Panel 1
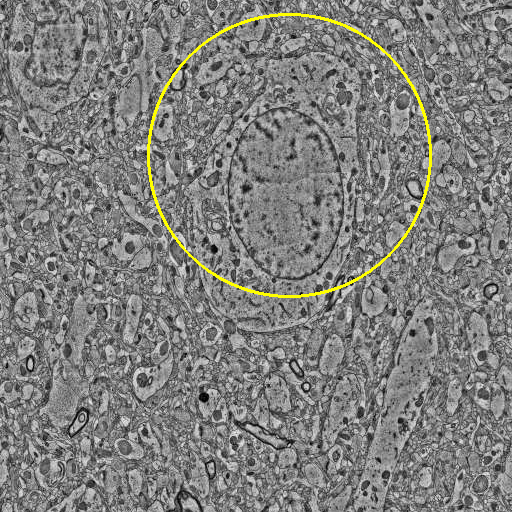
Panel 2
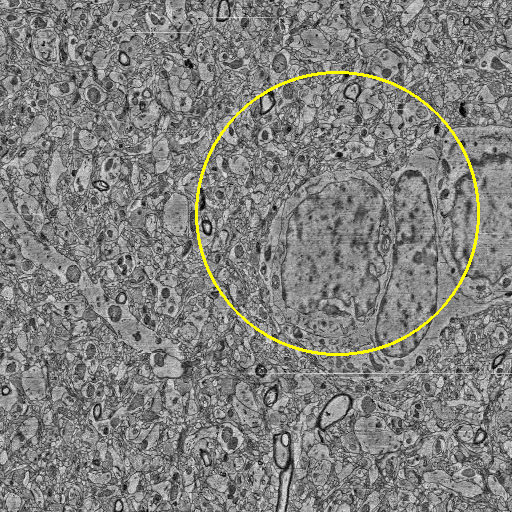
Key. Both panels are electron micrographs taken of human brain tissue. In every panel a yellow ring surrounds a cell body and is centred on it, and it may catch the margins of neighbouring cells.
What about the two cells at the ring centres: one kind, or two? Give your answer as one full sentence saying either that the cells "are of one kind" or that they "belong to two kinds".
Across Panels 1 and 2, the two cells at the ring centres belong to two kinds.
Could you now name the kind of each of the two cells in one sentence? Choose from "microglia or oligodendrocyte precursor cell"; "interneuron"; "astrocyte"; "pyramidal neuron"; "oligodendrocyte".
The first ring encloses a pyramidal neuron; the second ring encloses an interneuron.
